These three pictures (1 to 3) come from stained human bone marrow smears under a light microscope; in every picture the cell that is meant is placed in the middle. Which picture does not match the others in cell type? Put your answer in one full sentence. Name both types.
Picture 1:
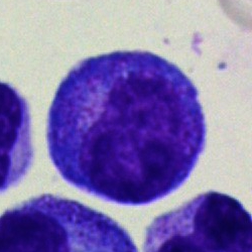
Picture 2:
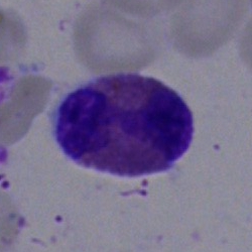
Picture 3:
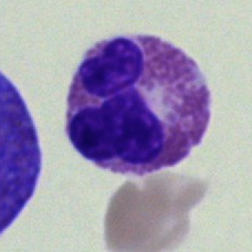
The different one is picture 1; it shows a promyelocyte, whereas all the others show eosinophils.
